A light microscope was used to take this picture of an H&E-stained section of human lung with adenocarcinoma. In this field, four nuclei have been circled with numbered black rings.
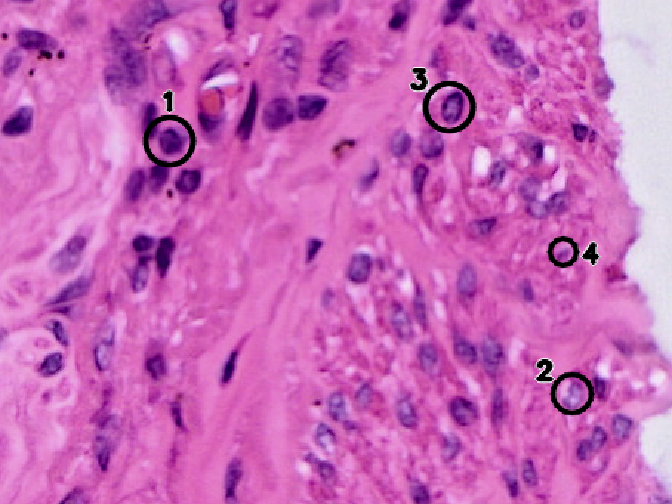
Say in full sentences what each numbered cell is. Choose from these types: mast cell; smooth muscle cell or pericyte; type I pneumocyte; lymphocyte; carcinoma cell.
Cell 1 is a lymphocyte, cell 2 is a smooth muscle cell or pericyte, cell 3 is a mast cell and cell 4 is a smooth muscle cell or pericyte.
